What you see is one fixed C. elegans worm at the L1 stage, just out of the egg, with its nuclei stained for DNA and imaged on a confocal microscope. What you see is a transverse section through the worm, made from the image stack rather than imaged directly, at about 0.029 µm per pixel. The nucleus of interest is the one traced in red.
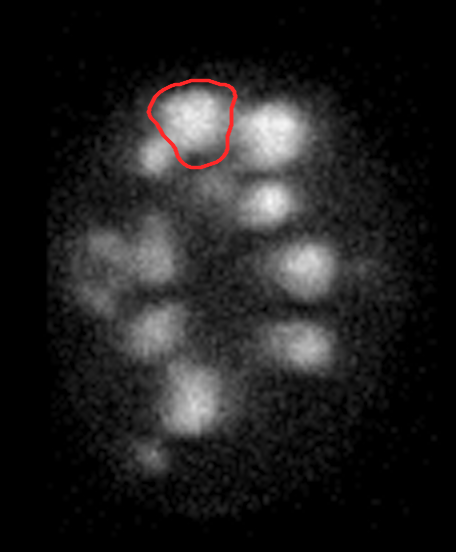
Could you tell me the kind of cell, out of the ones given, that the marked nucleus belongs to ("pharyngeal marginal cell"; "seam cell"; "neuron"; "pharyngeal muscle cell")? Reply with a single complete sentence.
What is marked is the nucleus of a neuron.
